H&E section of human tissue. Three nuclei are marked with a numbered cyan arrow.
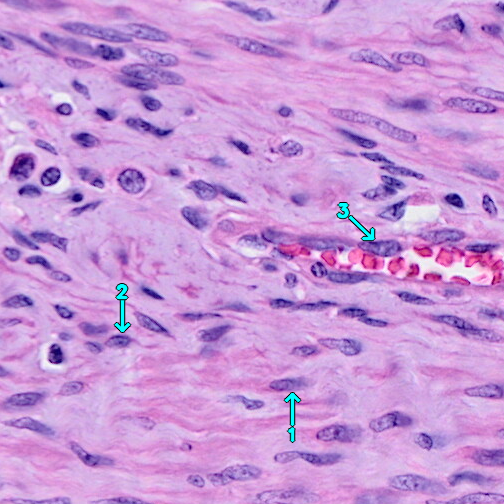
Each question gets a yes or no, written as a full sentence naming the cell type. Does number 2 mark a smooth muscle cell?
Yes, the numbered cell 2 is a smooth muscle cell.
